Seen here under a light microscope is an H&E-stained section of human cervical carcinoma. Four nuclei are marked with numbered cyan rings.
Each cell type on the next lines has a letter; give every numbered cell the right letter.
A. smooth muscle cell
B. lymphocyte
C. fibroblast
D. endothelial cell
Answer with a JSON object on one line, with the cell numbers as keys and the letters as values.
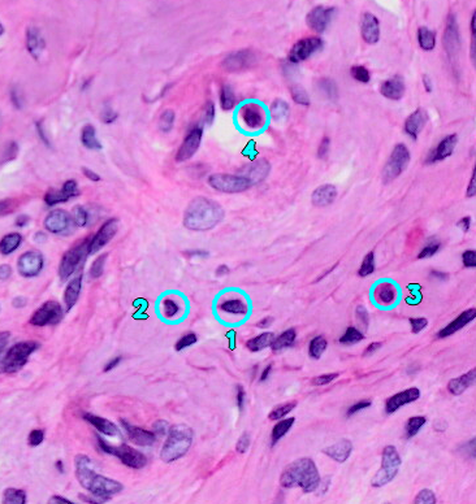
{"1": "C", "2": "C", "3": "A", "4": "D"}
